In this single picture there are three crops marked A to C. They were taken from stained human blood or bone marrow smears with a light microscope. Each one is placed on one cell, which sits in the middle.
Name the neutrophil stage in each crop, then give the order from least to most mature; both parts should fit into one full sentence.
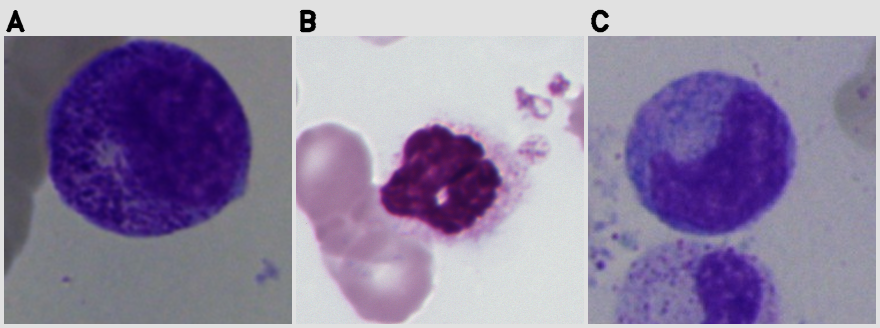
The series, from least to most mature, is crop A (a myelocyte), crop C (a metamyelocyte) and crop B (a segmented neutrophil).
